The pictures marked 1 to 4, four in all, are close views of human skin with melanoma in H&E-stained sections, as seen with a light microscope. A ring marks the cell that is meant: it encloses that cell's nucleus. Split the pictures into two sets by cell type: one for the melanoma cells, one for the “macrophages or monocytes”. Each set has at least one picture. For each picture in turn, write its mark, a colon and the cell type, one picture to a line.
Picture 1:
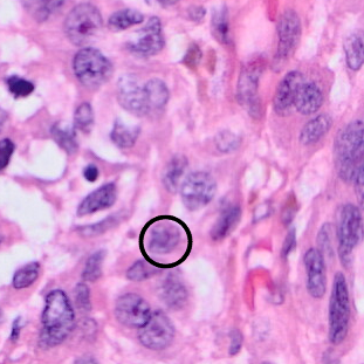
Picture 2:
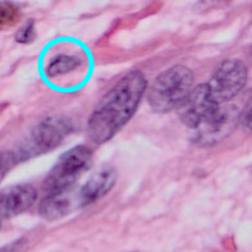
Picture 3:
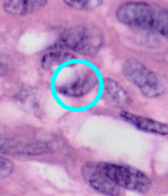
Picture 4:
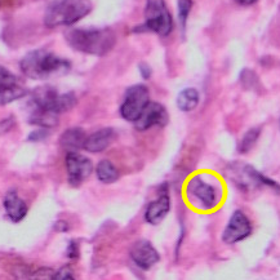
1: melanoma cell
2: macrophage or monocyte
3: melanoma cell
4: macrophage or monocyte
